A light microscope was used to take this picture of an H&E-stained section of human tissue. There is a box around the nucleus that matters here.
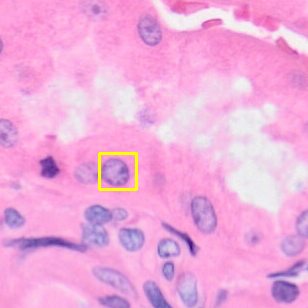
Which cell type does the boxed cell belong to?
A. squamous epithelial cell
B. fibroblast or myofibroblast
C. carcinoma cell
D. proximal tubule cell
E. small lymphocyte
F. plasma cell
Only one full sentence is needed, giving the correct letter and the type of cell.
Option D is correct here; the boxed cell is a proximal tubule cell.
